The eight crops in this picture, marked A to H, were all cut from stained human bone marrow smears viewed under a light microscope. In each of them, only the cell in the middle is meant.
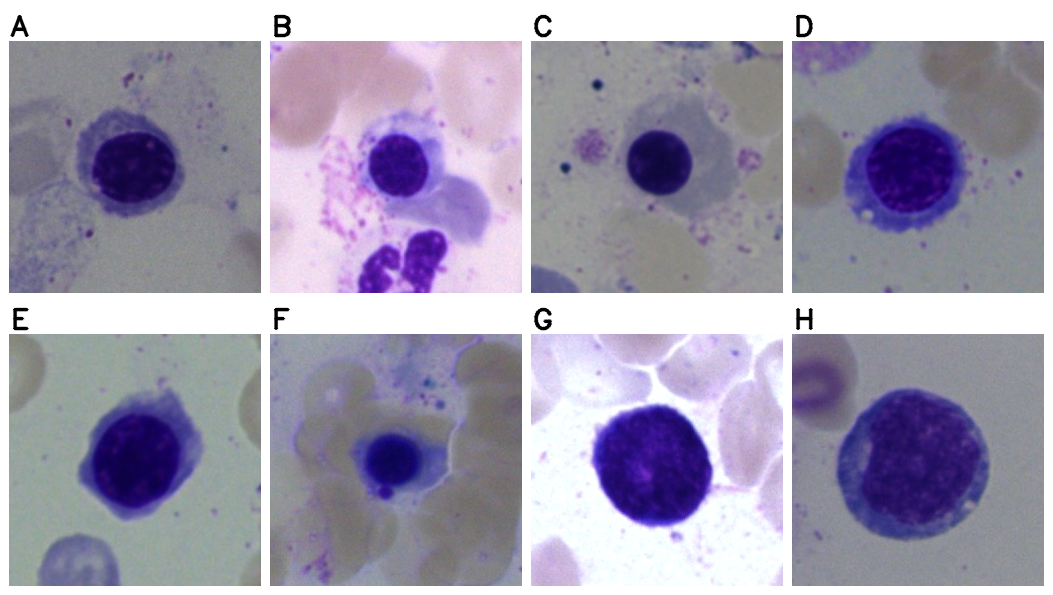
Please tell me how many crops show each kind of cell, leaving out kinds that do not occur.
normoblast: 6
blast: 2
